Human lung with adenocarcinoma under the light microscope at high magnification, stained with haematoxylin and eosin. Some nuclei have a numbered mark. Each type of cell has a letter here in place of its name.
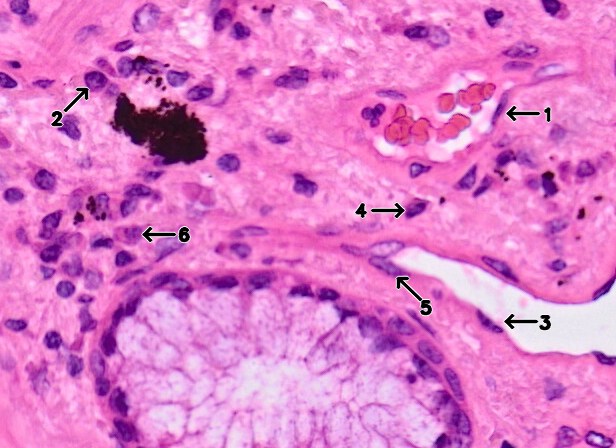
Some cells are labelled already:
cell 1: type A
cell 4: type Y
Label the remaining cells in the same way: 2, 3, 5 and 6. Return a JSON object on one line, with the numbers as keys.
{"2": "type Y", "3": "type A", "5": "type A", "6": "type Y"}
